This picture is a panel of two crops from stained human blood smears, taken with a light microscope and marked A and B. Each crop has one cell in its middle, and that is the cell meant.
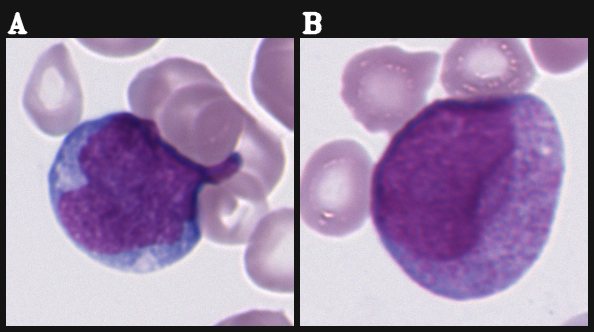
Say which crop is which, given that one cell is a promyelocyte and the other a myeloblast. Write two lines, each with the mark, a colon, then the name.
A: myeloblast
B: promyelocyte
